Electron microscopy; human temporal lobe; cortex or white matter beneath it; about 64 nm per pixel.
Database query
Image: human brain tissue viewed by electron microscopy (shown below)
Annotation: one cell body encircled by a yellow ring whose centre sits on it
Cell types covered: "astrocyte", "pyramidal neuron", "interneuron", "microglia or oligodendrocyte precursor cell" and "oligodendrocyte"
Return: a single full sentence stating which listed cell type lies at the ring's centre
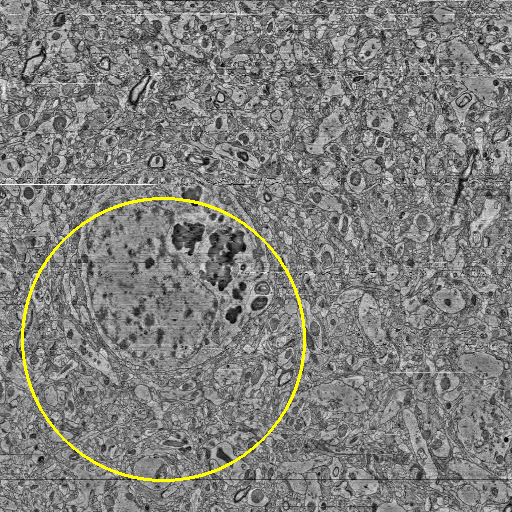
In the image, the cell lying at the ring's centre is an interneuron.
